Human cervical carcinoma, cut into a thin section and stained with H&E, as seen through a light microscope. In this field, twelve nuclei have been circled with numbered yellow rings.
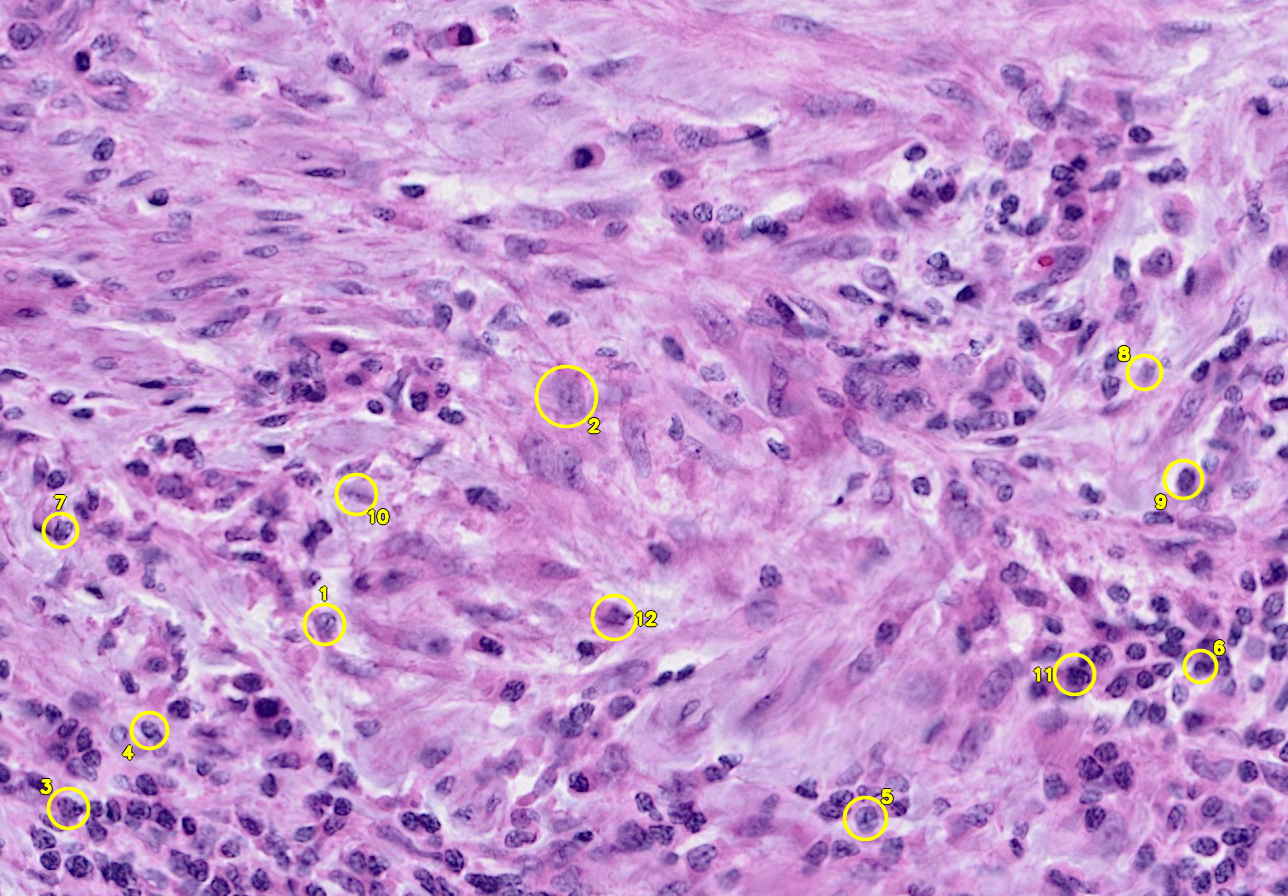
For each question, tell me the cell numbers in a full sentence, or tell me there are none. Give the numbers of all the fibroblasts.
Here, the cells that carry numbers 2 and 10 are fibroblasts.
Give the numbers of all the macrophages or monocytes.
Identification: the cells with numbers 1, 8 and 12 are macrophages or monocytes.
